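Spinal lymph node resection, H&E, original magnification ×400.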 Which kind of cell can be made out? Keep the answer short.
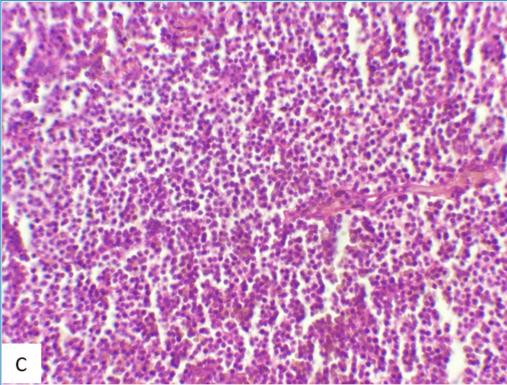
small to medium-sized lymphocytes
